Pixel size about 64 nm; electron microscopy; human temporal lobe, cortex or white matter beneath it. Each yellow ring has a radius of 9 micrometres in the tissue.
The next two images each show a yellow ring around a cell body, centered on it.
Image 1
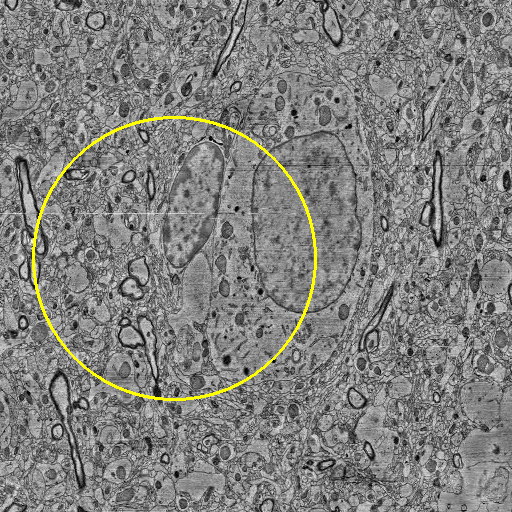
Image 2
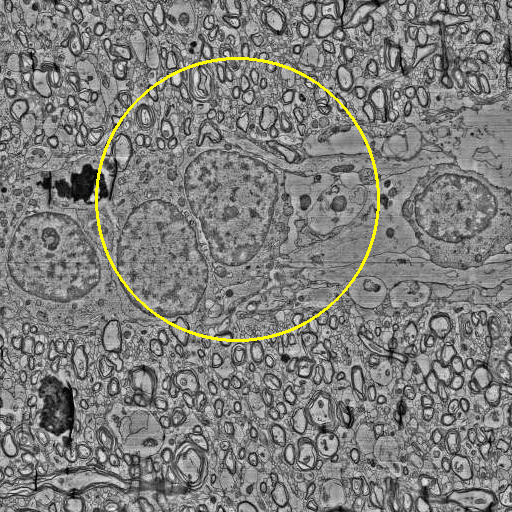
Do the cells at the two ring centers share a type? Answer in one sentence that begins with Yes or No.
No, across the two images the cells at the ring centers are of two types.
